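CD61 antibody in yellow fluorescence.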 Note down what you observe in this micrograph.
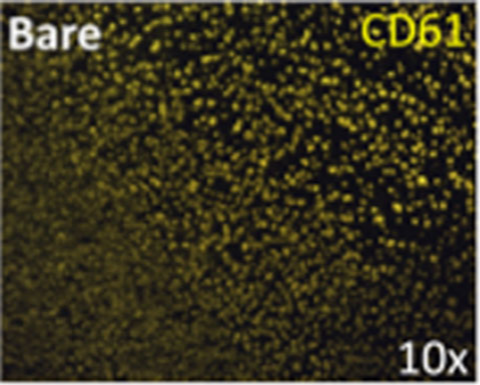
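The dots are small and of fairly uniform size, lying singly and closely packed. They are most crowded toward the left side of the field and become somewhat sparser toward the upper right, where more dark background shows between them.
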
